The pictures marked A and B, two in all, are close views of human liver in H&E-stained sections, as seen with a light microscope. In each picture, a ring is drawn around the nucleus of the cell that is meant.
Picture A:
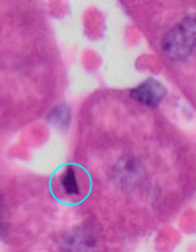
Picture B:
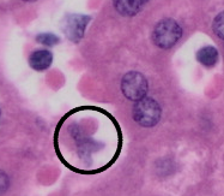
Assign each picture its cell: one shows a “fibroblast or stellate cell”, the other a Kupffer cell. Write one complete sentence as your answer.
It is picture A that shows a “fibroblast or stellate cell”, and picture B that shows a Kupffer cell.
